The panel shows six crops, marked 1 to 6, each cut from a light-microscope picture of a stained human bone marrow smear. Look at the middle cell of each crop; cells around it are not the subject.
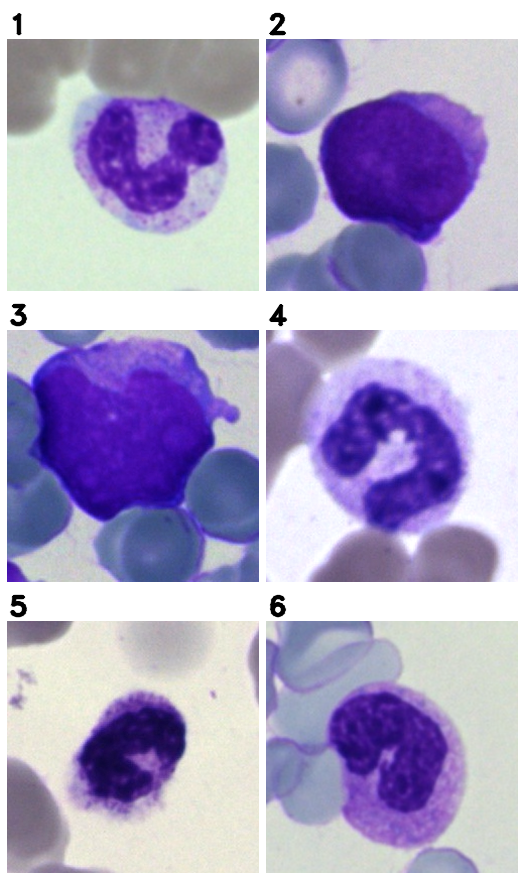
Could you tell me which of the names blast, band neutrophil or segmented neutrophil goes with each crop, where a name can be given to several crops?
1: segmented neutrophil
2: blast
3: blast
4: band neutrophil
5: band neutrophil
6: band neutrophil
